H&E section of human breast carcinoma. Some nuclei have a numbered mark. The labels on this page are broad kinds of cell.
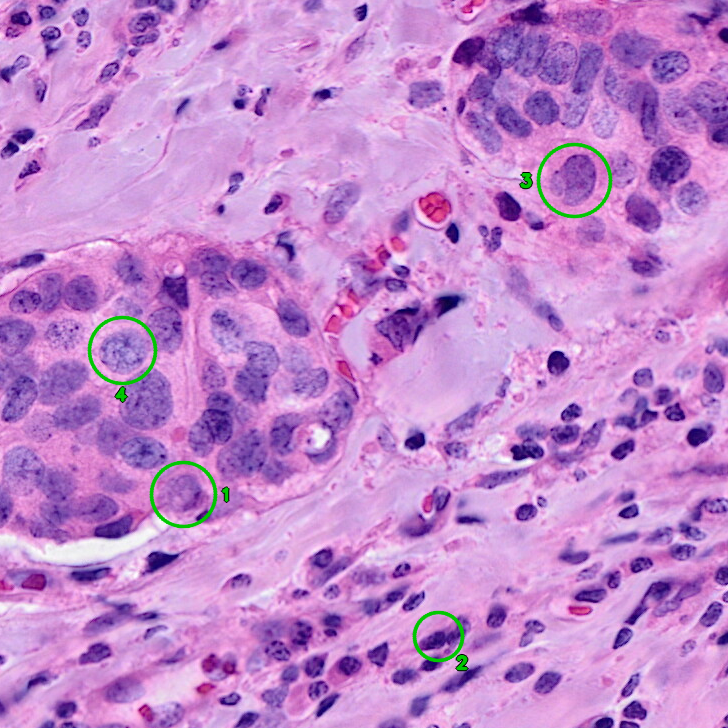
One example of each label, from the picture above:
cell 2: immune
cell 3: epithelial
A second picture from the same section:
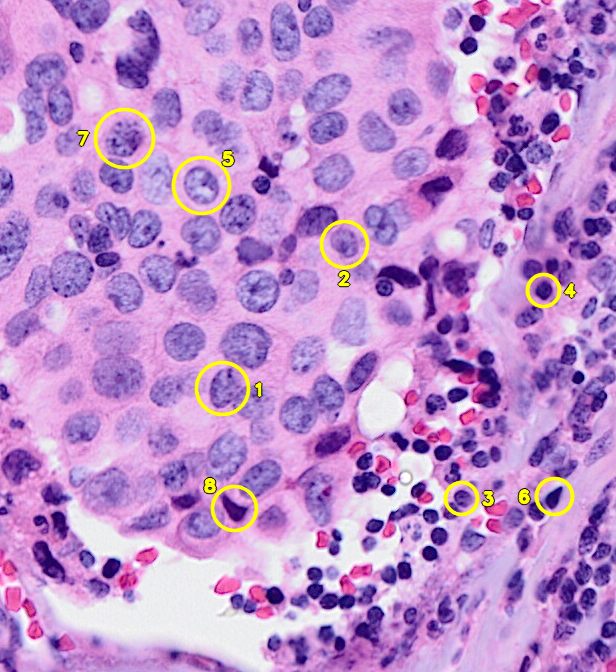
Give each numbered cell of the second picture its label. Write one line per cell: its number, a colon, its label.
1: epithelial
2: epithelial
3: immune
4: immune
5: epithelial
6: immune
7: epithelial
8: epithelial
